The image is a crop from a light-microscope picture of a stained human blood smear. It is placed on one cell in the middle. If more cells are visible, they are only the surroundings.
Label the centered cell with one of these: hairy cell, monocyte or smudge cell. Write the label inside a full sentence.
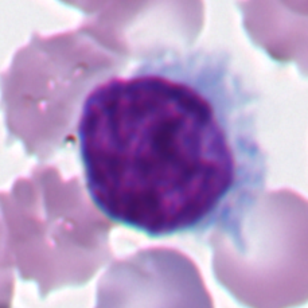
The middle cell in this particular crop is a hairy cell.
